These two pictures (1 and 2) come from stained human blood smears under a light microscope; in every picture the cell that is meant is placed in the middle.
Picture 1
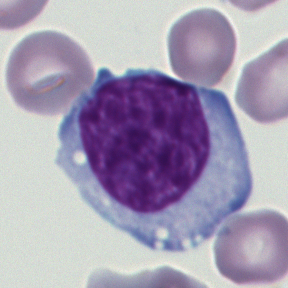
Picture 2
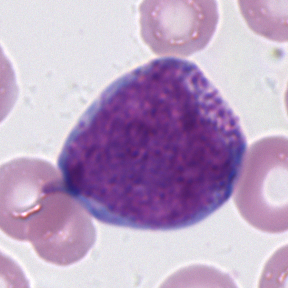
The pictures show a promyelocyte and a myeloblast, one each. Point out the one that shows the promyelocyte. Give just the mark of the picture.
2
